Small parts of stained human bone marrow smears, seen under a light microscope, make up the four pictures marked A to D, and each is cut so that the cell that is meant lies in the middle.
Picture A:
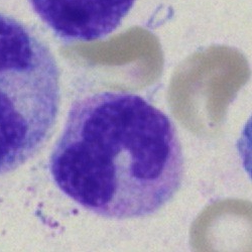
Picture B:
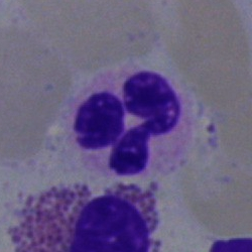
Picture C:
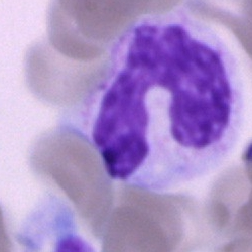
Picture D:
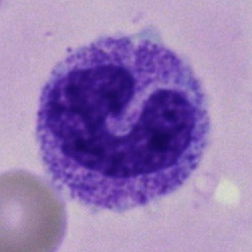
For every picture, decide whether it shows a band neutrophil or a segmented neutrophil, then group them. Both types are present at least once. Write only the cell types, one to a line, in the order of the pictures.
band neutrophil
segmented neutrophil
band neutrophil
band neutrophil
